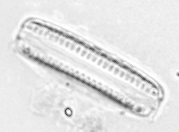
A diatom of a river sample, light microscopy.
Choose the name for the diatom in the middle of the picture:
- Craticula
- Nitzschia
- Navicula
Nitzschia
